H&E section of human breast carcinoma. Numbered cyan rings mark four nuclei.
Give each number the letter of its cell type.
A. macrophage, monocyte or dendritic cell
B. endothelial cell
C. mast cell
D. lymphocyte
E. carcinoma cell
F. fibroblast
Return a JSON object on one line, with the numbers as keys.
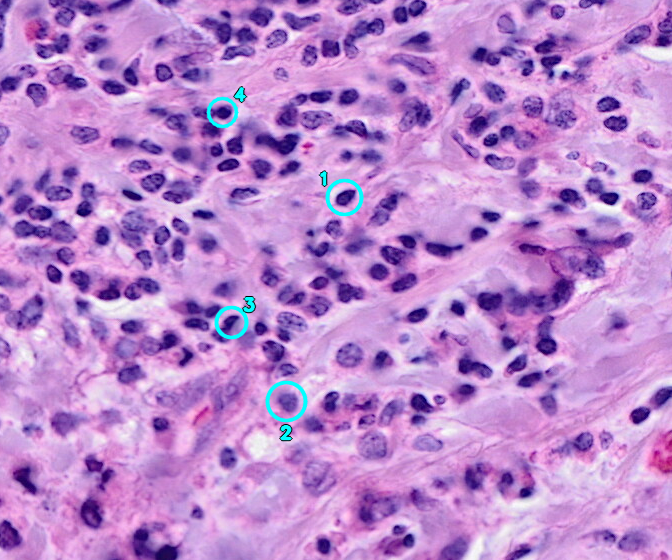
{"1": "D", "2": "C", "3": "D", "4": "D"}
